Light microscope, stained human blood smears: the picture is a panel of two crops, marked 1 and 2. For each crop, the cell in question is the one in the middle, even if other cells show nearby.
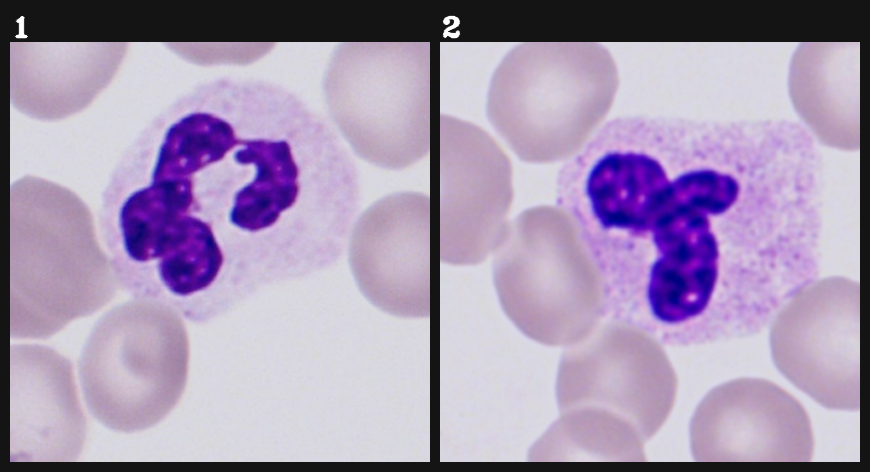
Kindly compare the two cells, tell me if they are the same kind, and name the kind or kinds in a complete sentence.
Yes, the same answer goes for both crops, namely segmented neutrophils.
